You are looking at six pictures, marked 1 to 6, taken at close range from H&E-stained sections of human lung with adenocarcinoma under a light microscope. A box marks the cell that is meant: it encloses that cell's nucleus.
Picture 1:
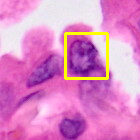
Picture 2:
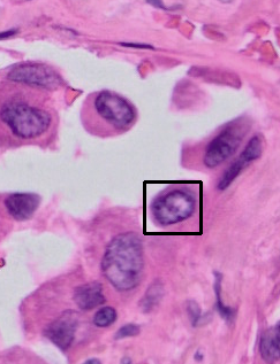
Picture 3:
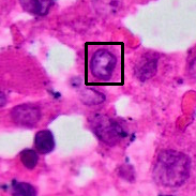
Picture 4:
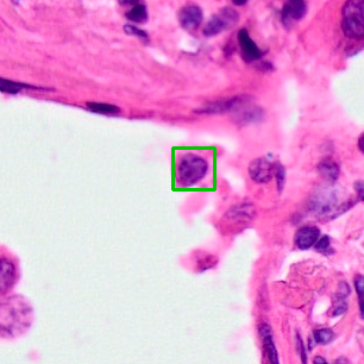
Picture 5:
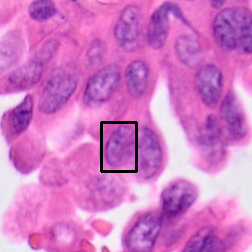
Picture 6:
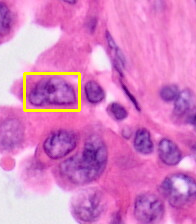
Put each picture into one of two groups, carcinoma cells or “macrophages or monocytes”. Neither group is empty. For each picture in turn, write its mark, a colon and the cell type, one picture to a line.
1: carcinoma cell
2: carcinoma cell
3: macrophage or monocyte
4: macrophage or monocyte
5: carcinoma cell
6: carcinoma cell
